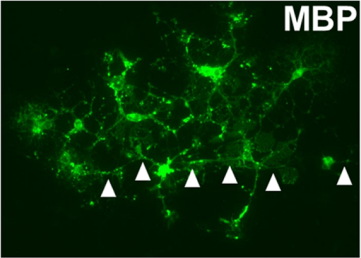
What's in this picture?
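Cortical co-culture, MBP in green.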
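Many fine processes radiate from it and branch repeatedly, and some fan out into thin, lacy membrane sheets. The cells are scattered over the field, most densely in the upper middle. Along the lower part of the field, a row of green processes lines up in a roughly horizontal band.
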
